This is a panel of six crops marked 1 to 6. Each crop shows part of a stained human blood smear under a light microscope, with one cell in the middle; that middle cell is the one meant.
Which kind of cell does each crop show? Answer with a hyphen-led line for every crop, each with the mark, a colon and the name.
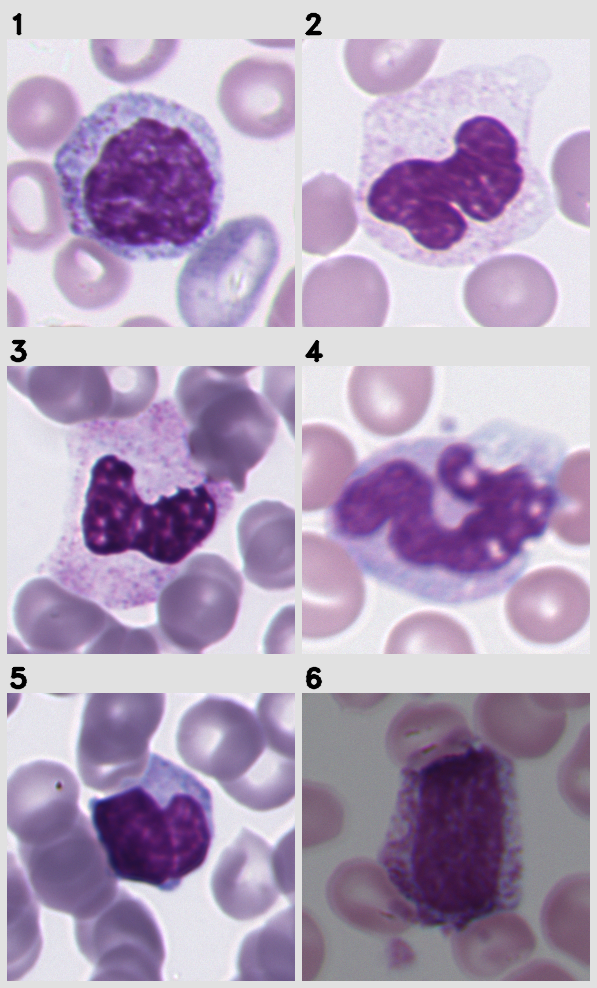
- 1: myelocyte
- 2: band neutrophil
- 3: band neutrophil
- 4: monocyte
- 5: typical lymphocyte
- 6: myelocyte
